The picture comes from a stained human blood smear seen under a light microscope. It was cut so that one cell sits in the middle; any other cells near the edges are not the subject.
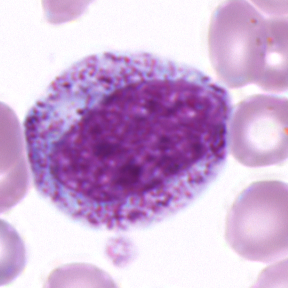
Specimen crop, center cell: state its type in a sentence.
On this slide crop, the central cell is a promyelocyte.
